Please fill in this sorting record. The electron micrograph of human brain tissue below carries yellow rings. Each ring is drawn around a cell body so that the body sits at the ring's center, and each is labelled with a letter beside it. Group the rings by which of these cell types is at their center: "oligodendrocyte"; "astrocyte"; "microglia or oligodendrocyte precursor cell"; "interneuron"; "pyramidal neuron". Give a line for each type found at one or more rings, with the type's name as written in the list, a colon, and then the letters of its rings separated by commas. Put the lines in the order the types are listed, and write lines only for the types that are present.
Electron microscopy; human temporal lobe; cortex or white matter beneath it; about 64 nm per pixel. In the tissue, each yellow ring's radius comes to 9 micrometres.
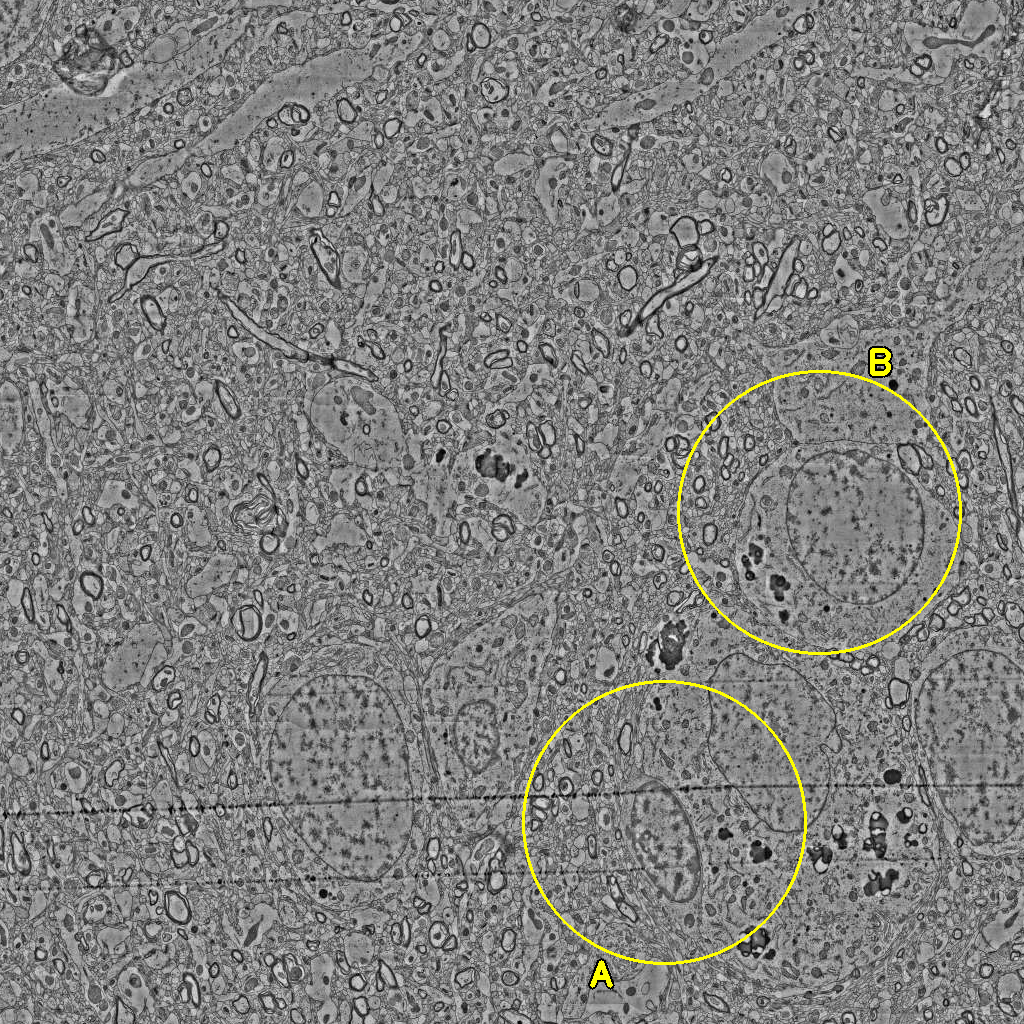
oligodendrocyte: A
pyramidal neuron: B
